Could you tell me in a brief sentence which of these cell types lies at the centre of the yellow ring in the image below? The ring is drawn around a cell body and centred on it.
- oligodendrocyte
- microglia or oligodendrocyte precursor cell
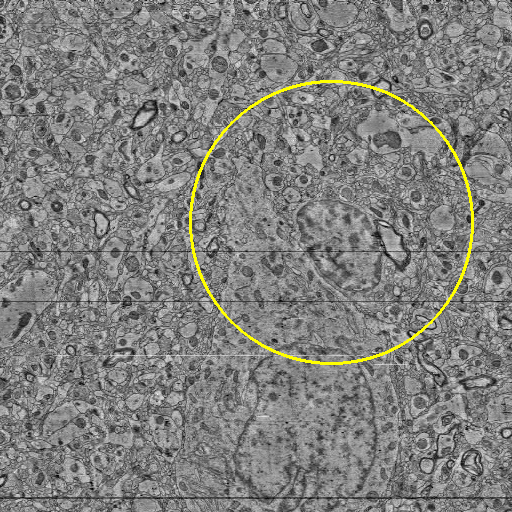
The cell centred in the ring is an oligodendrocyte.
